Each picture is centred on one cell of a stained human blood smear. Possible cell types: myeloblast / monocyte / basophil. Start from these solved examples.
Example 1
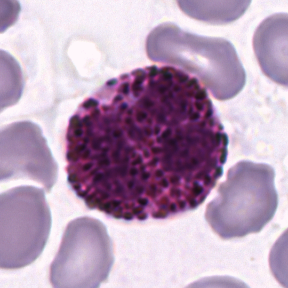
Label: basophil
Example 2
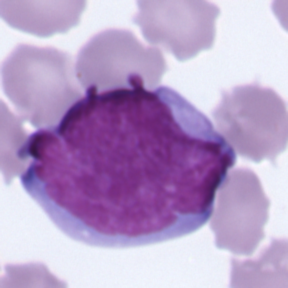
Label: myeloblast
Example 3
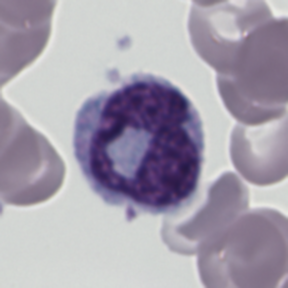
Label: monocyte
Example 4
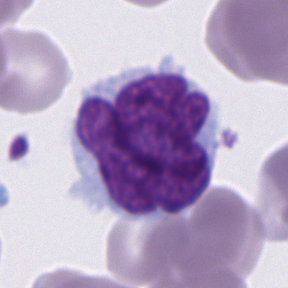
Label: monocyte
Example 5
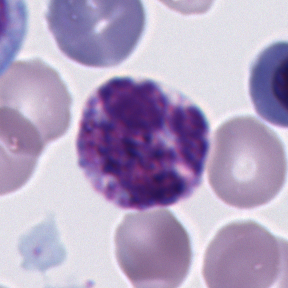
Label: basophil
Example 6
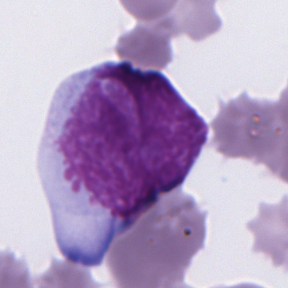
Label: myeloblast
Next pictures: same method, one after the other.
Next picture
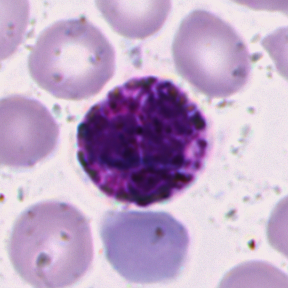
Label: basophil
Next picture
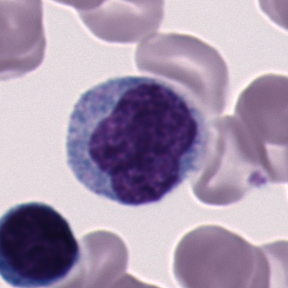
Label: monocyte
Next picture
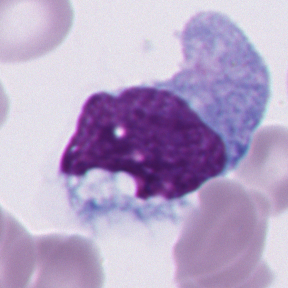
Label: monocyte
